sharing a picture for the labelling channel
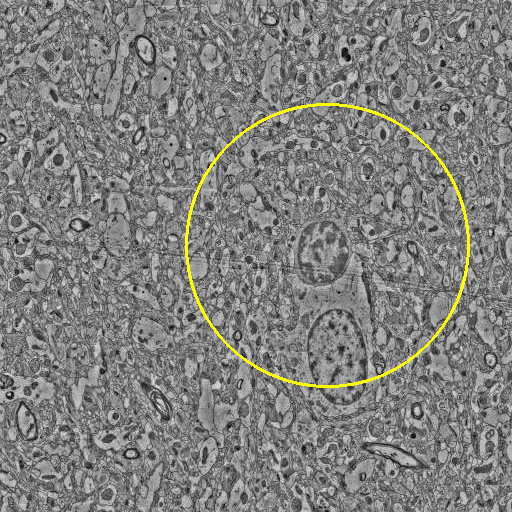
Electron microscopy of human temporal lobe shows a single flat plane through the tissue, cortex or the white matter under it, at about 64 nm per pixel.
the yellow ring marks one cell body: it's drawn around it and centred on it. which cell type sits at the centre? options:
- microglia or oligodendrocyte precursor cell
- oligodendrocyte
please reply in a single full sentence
In the picture, the cell at the ring's centre is an oligodendrocyte, going by the list.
